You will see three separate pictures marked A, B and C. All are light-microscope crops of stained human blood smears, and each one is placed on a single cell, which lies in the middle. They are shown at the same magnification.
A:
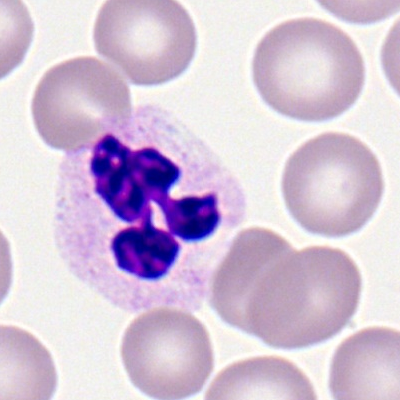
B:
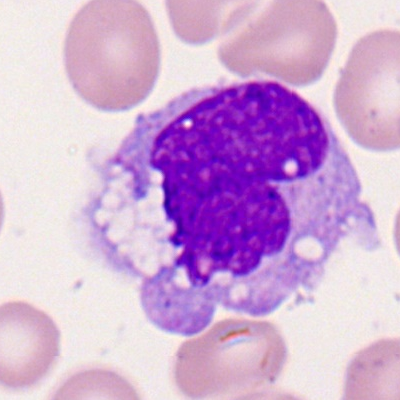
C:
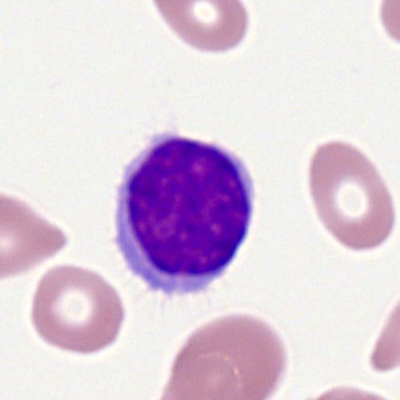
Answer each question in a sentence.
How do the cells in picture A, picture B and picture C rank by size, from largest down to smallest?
From the largest down, the order is B, A, C.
